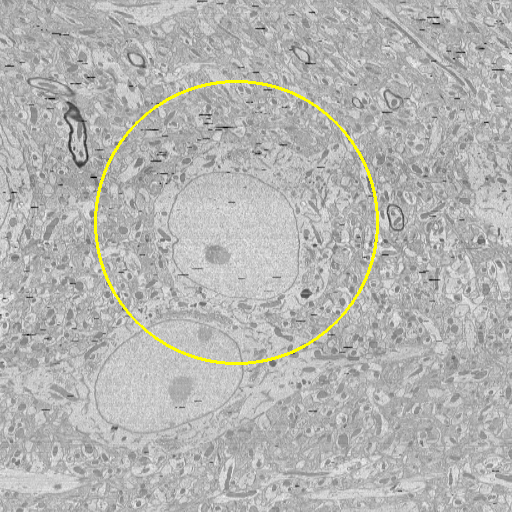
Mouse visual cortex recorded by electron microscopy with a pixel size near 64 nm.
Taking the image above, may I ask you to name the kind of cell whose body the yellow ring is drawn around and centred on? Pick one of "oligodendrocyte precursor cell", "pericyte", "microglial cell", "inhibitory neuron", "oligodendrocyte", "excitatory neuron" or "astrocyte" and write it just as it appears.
excitatory neuron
